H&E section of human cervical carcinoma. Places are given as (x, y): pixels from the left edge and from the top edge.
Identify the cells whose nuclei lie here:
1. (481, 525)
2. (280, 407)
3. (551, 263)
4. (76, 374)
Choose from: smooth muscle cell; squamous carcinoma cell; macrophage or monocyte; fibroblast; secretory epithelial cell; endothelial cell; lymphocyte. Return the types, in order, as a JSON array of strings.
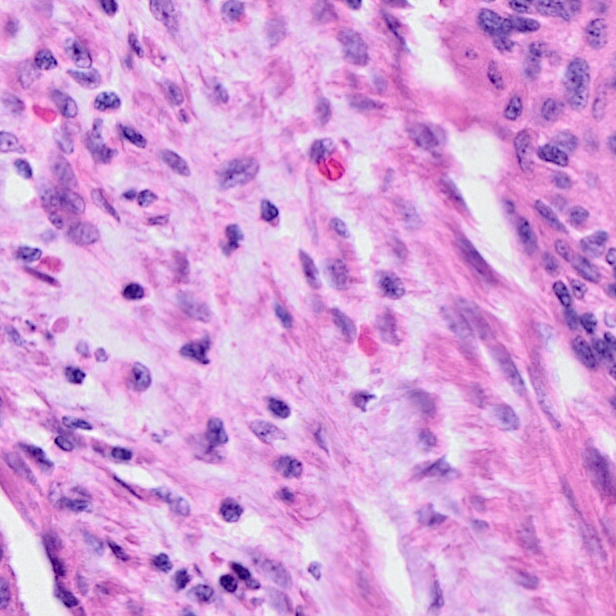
["fibroblast", "lymphocyte", "squamous carcinoma cell", "lymphocyte"]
